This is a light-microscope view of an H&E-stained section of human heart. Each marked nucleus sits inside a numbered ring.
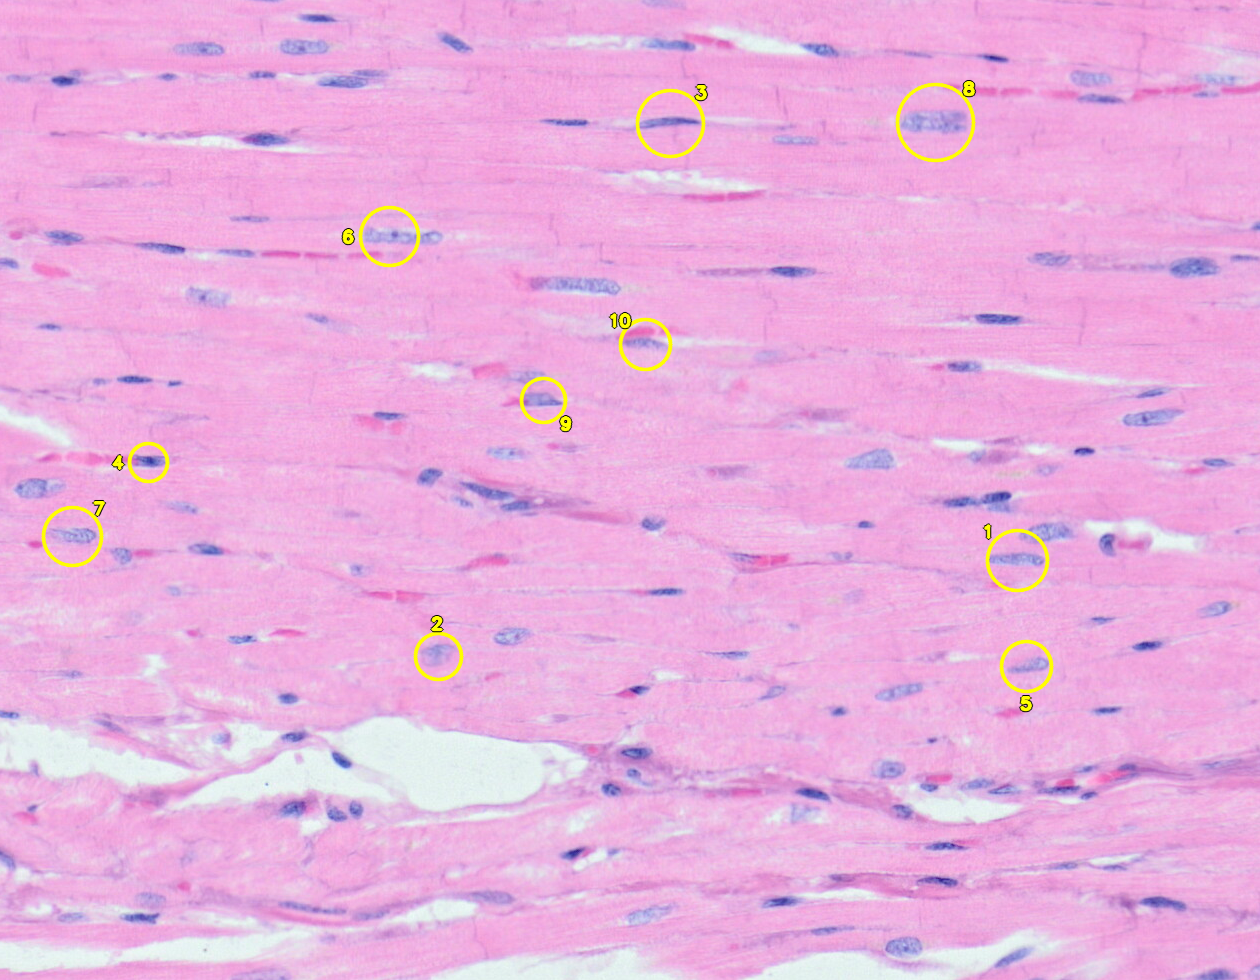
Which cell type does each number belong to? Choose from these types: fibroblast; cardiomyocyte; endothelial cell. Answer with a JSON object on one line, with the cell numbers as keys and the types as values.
{"1": "cardiomyocyte", "2": "cardiomyocyte", "3": "endothelial cell", "4": "endothelial cell", "5": "cardiomyocyte", "6": "cardiomyocyte", "7": "cardiomyocyte", "8": "cardiomyocyte", "9": "endothelial cell", "10": "fibroblast"}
